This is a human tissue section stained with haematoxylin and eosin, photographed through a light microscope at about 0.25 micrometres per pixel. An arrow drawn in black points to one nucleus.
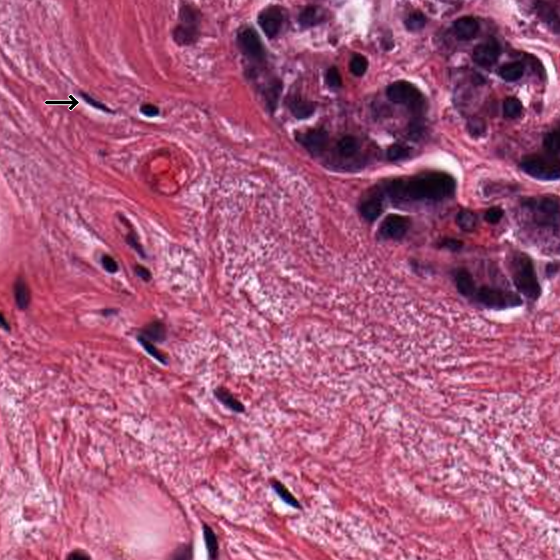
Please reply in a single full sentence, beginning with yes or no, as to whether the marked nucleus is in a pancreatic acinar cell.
No, rather than a pancreatic acinar cell, it is a supporting cell that contains the marked nucleus.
